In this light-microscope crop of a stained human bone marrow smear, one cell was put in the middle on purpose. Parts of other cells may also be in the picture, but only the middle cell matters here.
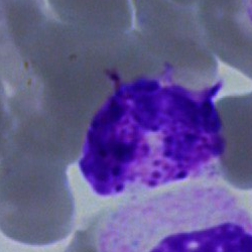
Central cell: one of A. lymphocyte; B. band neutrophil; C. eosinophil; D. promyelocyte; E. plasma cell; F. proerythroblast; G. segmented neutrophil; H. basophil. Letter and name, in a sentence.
The cell occupying the centre is a basophil; option H is thus the correct choice.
